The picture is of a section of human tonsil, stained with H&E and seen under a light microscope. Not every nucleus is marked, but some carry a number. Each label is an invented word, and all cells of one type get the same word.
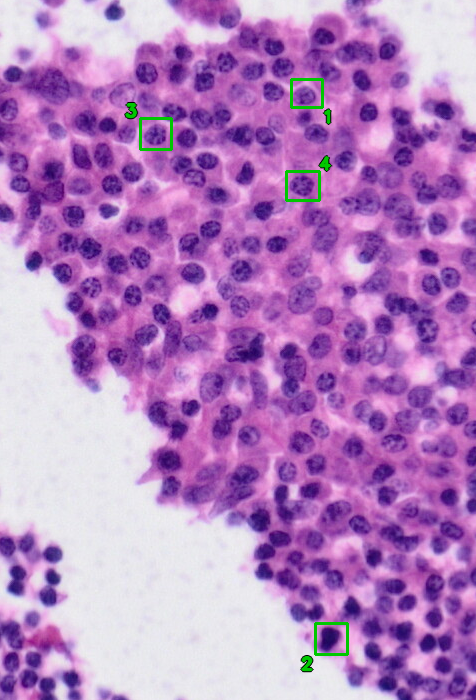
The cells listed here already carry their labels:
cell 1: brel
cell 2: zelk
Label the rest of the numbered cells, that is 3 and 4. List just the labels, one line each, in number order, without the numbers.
brel
brel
